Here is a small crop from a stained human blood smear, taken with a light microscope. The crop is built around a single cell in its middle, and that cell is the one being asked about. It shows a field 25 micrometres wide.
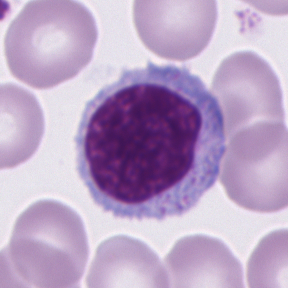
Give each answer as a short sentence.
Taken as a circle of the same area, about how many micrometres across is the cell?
Taken as a circle, the cell has a diameter of about 13 micrometres.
